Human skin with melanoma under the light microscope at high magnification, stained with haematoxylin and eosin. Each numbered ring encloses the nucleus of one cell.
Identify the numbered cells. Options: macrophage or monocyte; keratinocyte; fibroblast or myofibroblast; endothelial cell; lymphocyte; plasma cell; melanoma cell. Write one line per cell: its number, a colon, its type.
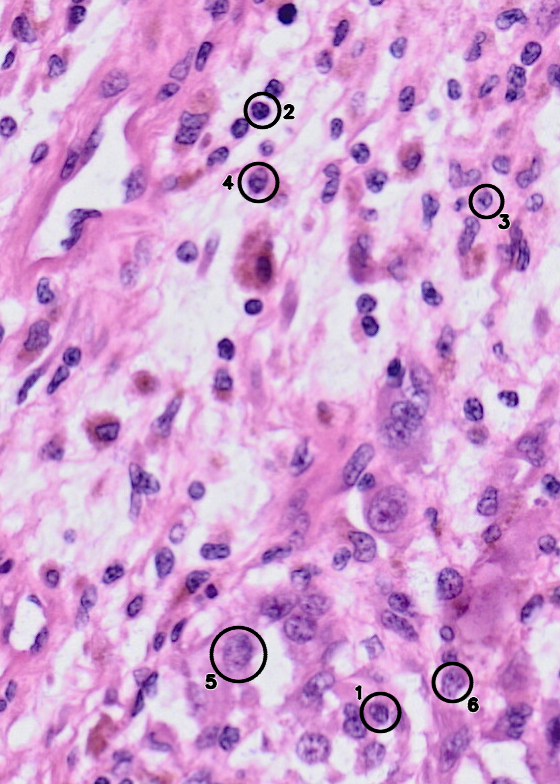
1: melanoma cell
2: lymphocyte
3: lymphocyte
4: macrophage or monocyte
5: melanoma cell
6: melanoma cell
